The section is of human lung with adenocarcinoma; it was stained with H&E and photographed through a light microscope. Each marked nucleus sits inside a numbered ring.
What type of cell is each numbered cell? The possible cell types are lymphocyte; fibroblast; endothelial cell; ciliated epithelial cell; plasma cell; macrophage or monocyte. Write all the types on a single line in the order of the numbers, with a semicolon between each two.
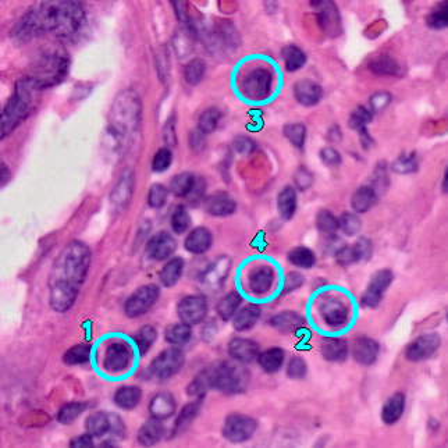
lymphocyte; lymphocyte; plasma cell; lymphocyte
